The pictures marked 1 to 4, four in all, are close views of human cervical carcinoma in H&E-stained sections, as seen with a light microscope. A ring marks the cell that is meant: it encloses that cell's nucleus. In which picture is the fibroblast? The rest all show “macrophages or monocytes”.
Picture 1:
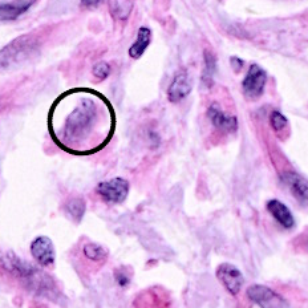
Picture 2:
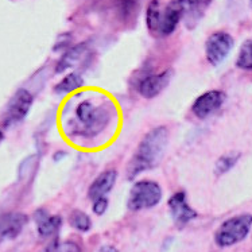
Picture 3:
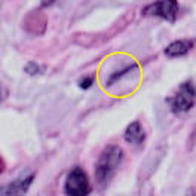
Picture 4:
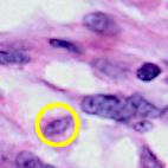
3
